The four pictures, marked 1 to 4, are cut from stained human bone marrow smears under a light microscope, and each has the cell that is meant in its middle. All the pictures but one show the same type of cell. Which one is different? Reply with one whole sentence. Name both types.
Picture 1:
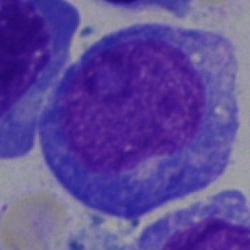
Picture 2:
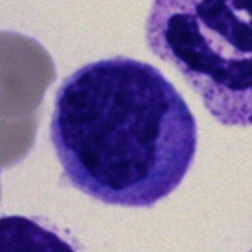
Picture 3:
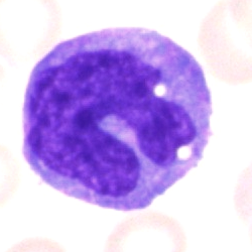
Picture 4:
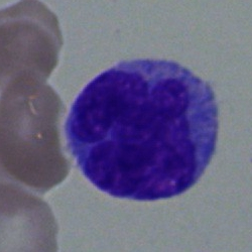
All pictures except 1 show monocytes; picture 1 shows a blast.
